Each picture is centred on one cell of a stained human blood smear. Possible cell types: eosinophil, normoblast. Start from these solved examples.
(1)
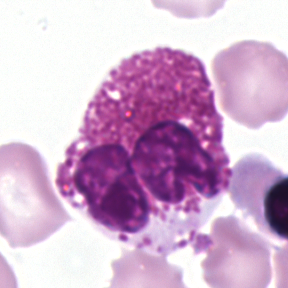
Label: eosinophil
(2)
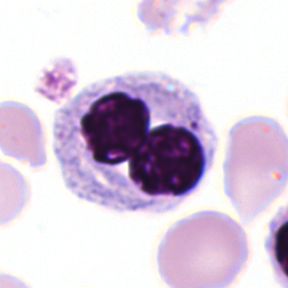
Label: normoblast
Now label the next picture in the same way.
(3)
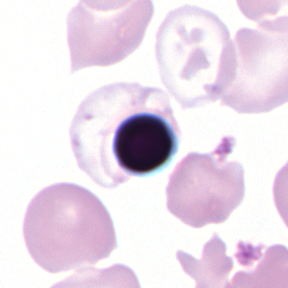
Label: normoblast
